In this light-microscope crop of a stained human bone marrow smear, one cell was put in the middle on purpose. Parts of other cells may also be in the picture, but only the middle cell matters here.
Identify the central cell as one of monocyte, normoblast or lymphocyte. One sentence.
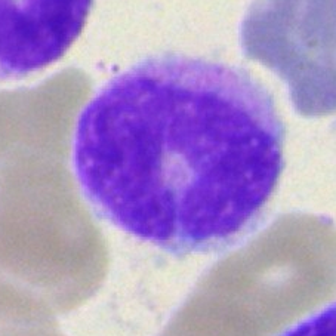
The center cell of this crop is a monocyte.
